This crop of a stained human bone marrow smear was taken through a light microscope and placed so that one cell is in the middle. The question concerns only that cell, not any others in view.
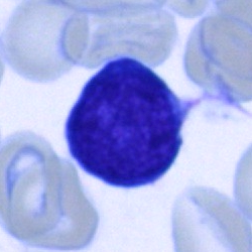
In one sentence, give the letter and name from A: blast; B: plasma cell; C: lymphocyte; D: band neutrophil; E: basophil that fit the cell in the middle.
Option C is correct in naming the middle cell a lymphocyte.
